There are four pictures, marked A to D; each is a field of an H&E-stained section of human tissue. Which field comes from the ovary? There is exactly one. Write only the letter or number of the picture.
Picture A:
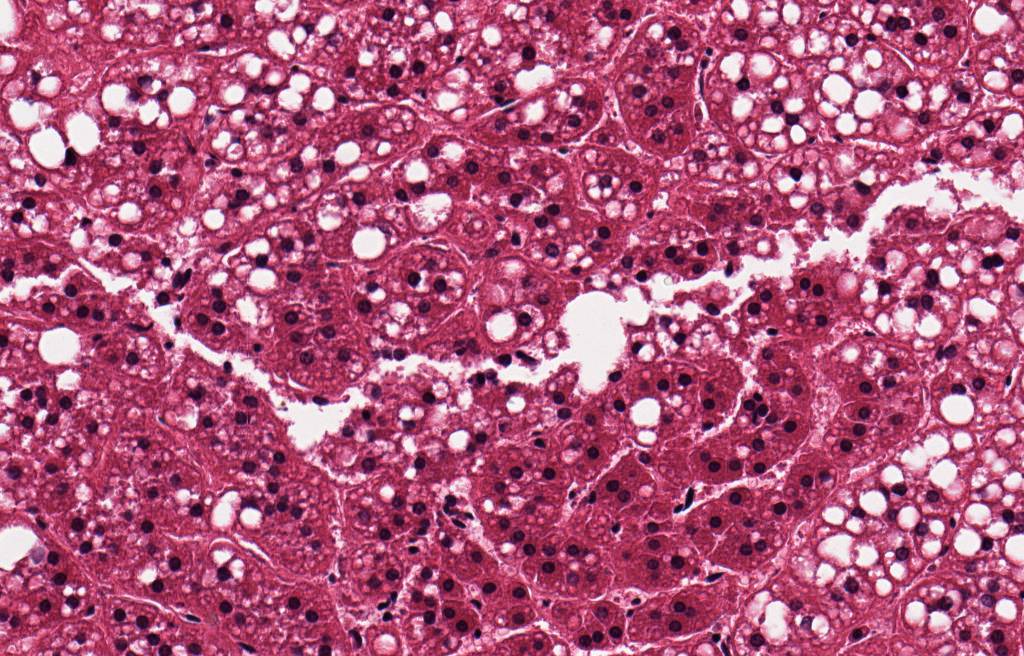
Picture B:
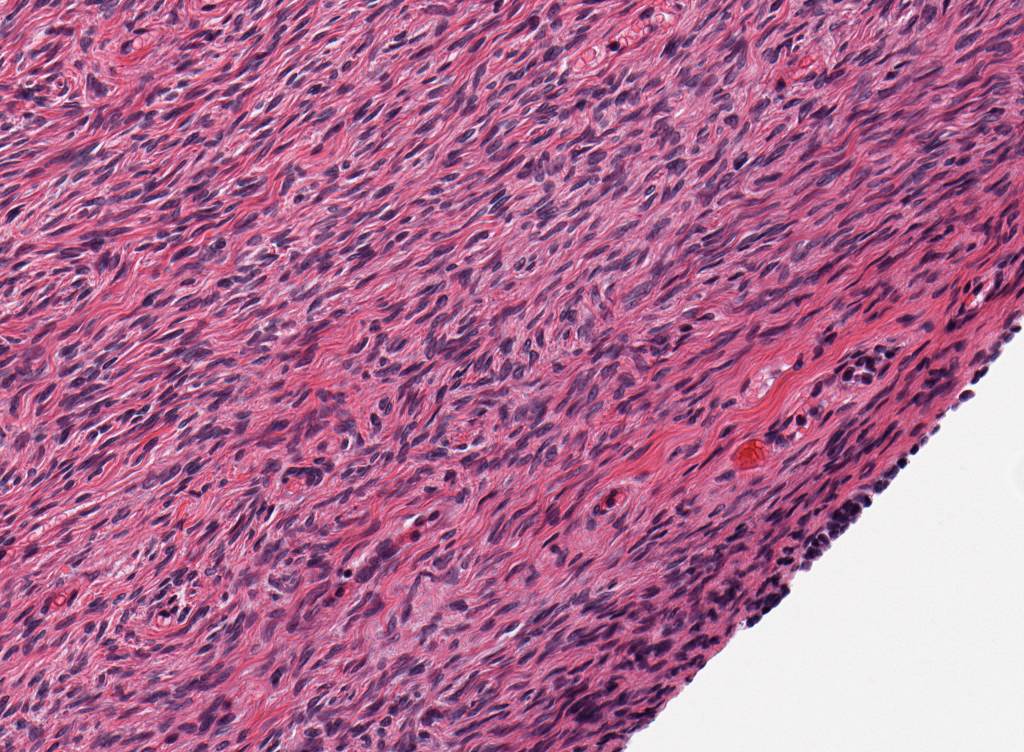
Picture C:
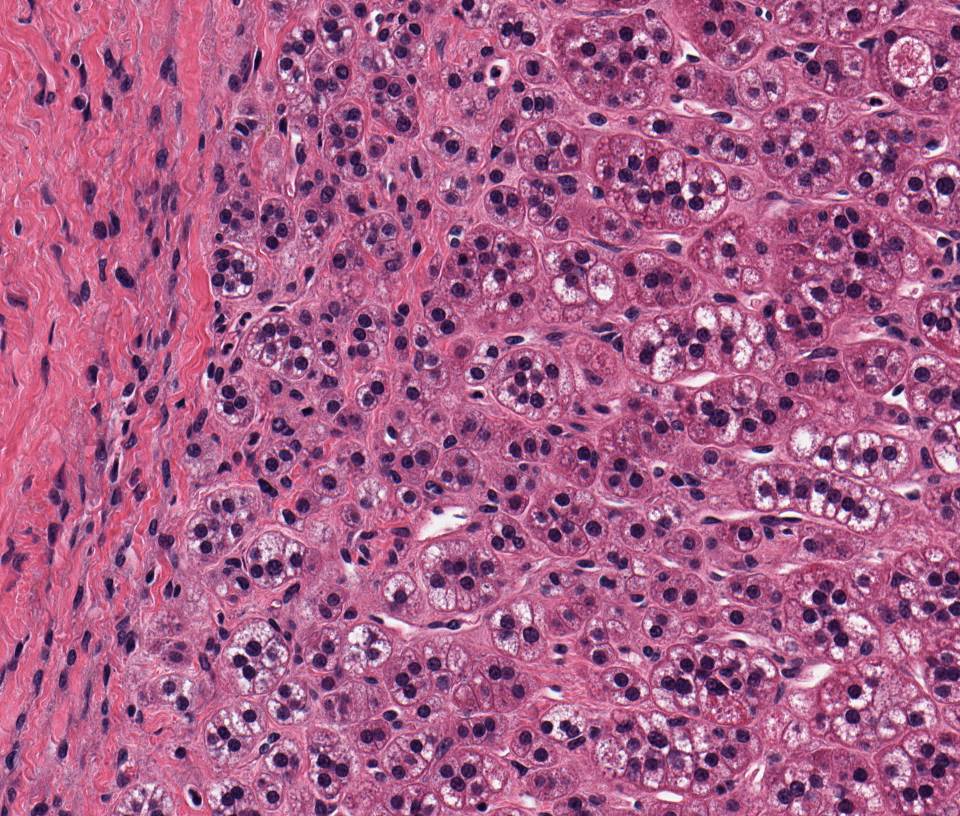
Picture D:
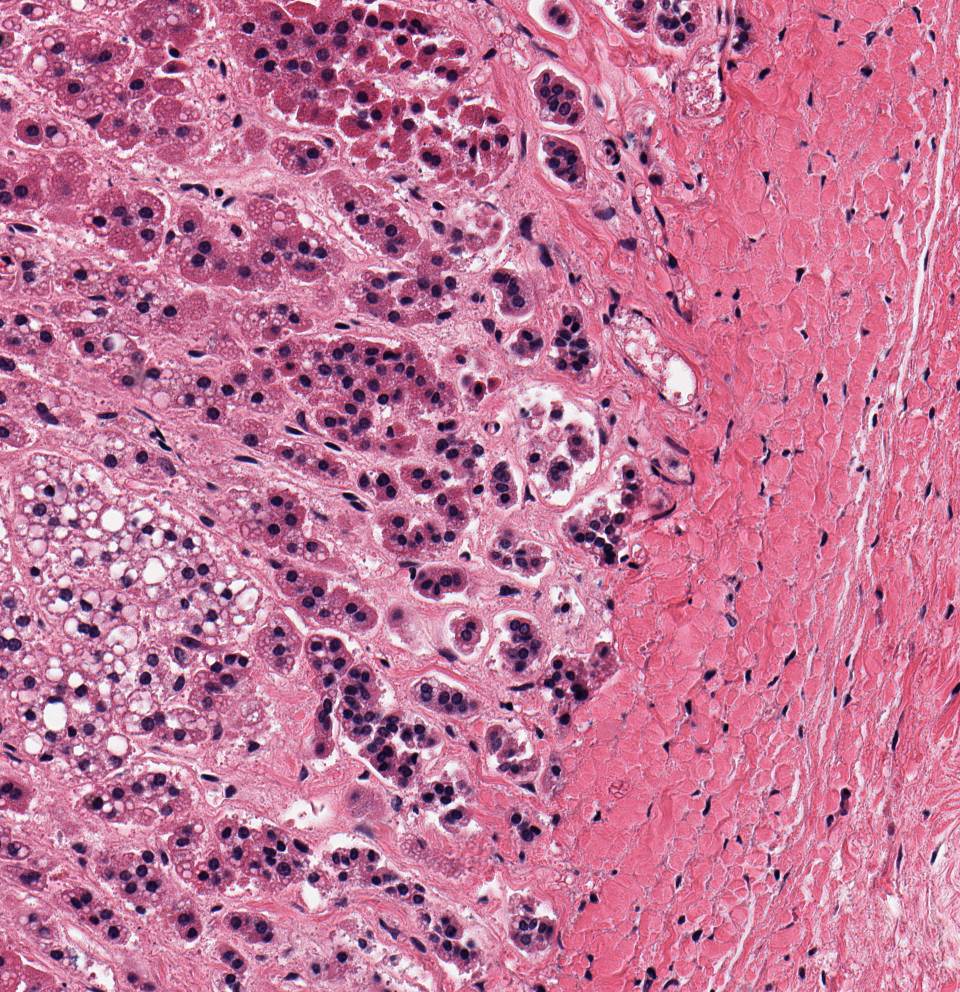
B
